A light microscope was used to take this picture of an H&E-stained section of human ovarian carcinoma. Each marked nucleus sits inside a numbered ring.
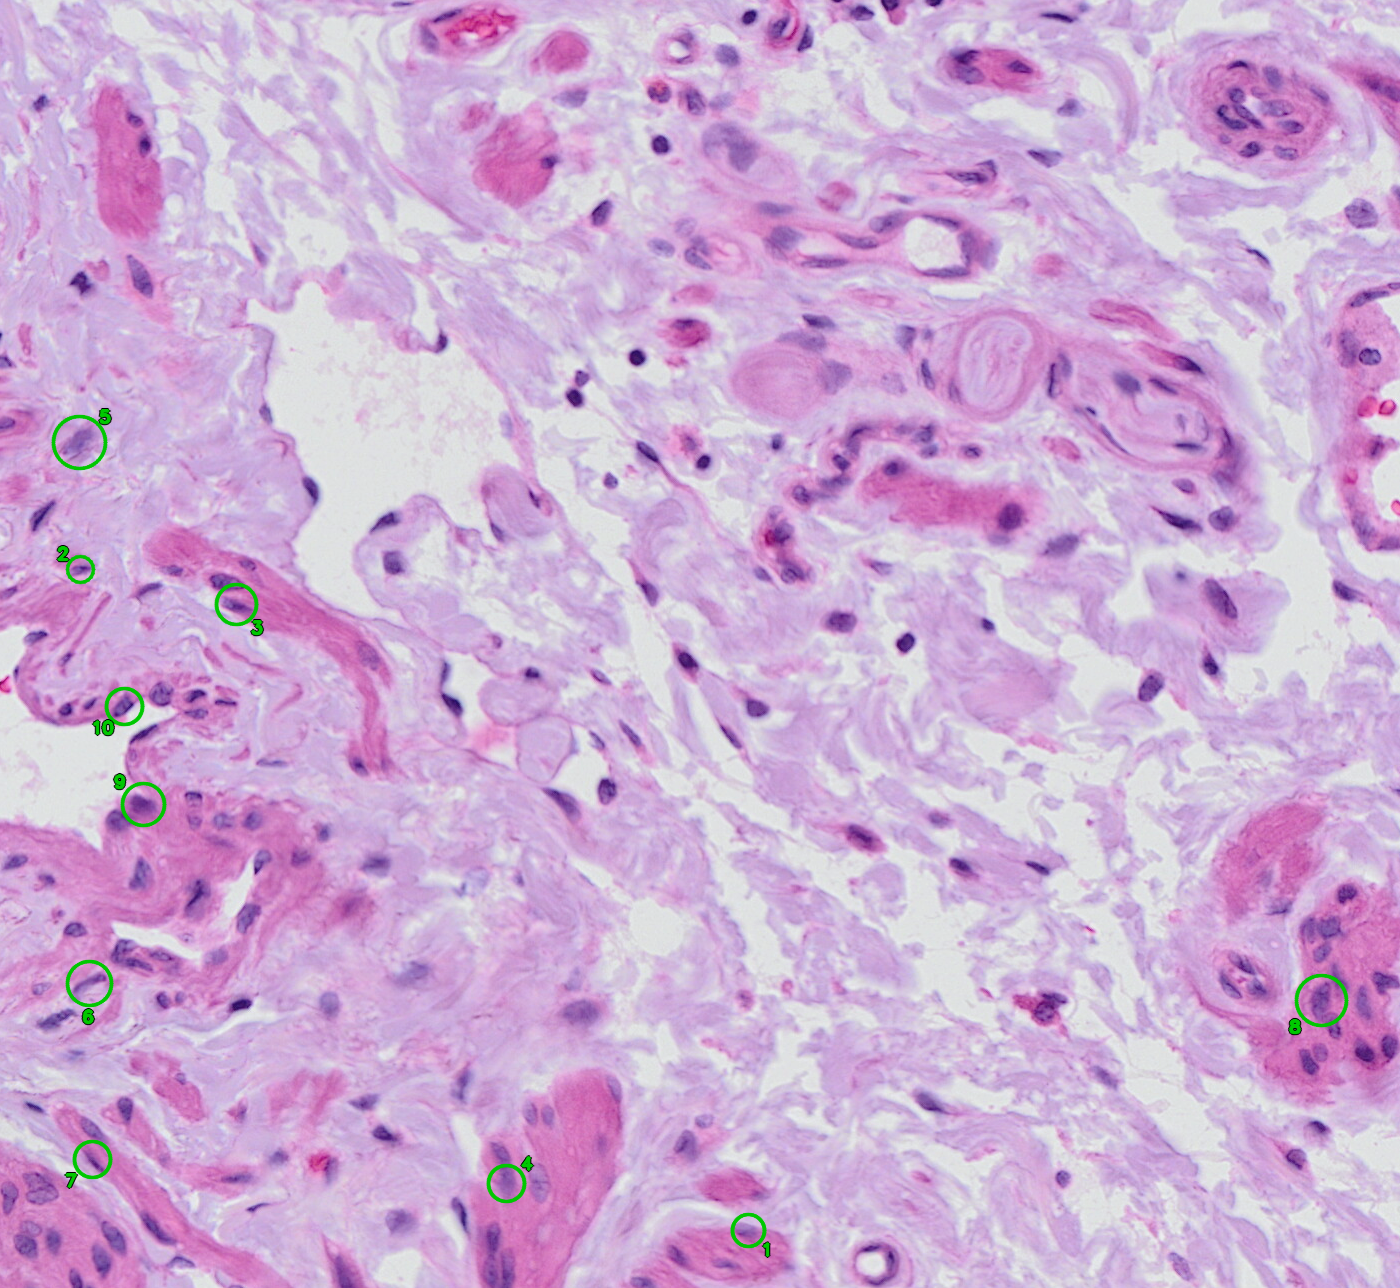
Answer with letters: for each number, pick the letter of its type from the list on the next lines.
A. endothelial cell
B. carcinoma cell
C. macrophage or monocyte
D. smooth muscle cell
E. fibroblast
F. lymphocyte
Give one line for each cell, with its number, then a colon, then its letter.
1: D
2: D
3: D
4: D
5: E
6: E
7: D
8: D
9: A
10: A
